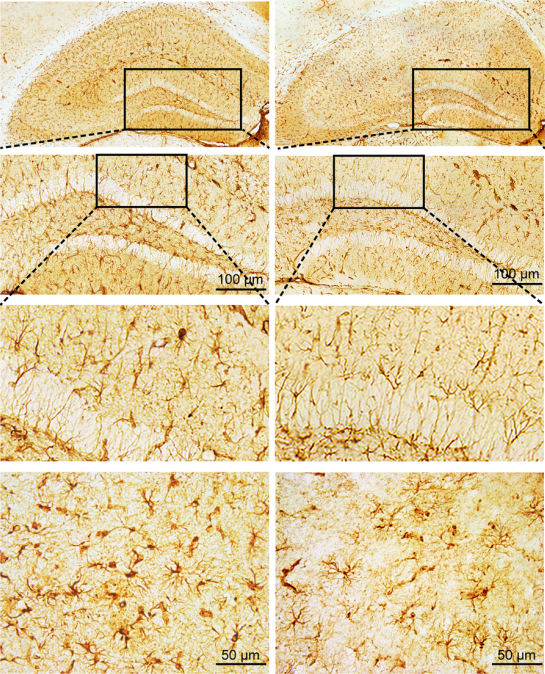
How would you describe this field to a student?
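The astrocytes have small cell bodies with many fine radiating processes, which gives them a star-like shape. In the enlarged view of the dentate gyrus, a pale band of densely packed, unstained cells is crossed by long brown processes that run roughly parallel to one another. Brown-stained processes outline blood vessels in places.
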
